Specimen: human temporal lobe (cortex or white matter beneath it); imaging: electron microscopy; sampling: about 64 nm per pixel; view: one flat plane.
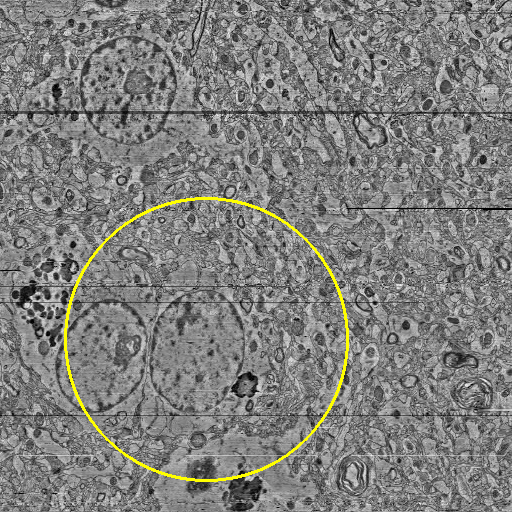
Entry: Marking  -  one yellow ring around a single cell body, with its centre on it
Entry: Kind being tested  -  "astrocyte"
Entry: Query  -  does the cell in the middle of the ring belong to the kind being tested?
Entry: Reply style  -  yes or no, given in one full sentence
Yes, the centred cell within the ring in the picture does belong to the tested kind.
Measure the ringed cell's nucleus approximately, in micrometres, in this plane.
In this plane the nucleus measures roughly 8 by 6 micrometres.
